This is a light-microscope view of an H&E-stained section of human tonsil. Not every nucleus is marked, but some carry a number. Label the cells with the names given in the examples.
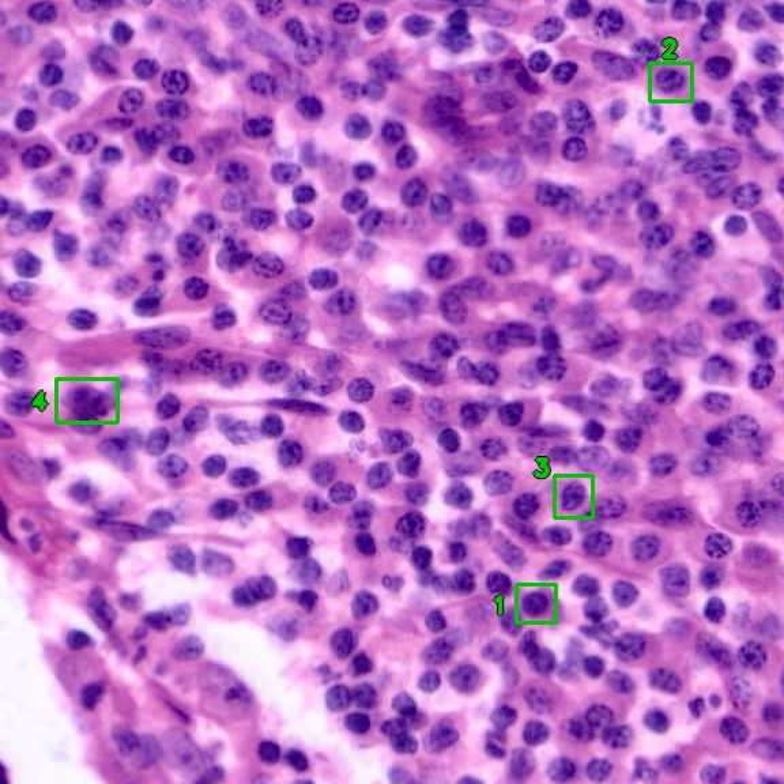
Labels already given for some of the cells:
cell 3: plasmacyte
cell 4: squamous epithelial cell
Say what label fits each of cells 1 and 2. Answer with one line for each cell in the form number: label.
1: plasmacyte
2: plasmacyte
